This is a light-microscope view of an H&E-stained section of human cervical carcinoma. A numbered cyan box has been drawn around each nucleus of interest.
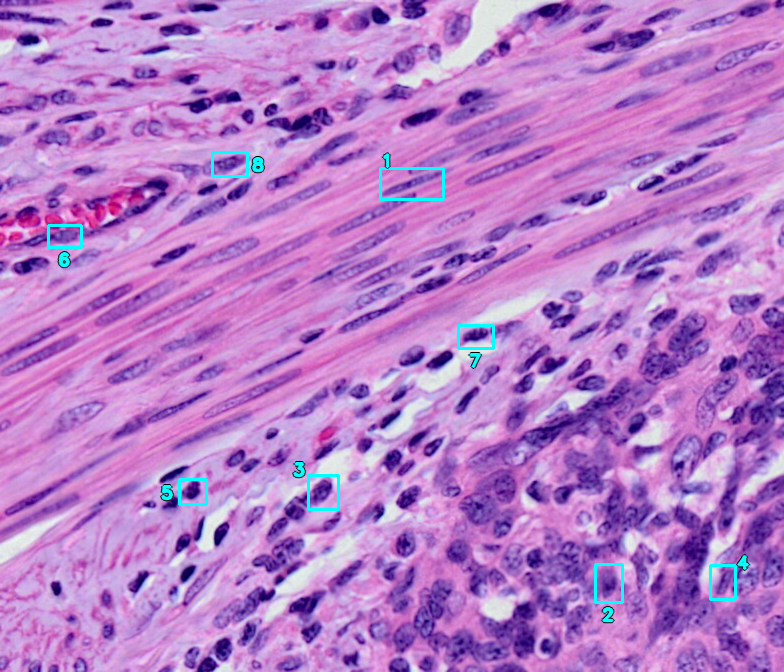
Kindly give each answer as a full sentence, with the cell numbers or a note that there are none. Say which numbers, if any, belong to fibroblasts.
Cell 8 is a fibroblast, and it is the only numbered cell that is.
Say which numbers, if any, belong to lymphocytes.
The cells with the number labels 3, 5 and 7 are lymphocytes.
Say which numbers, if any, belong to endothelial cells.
Unlike the other numbered cells, cell 6 is an endothelial cell.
